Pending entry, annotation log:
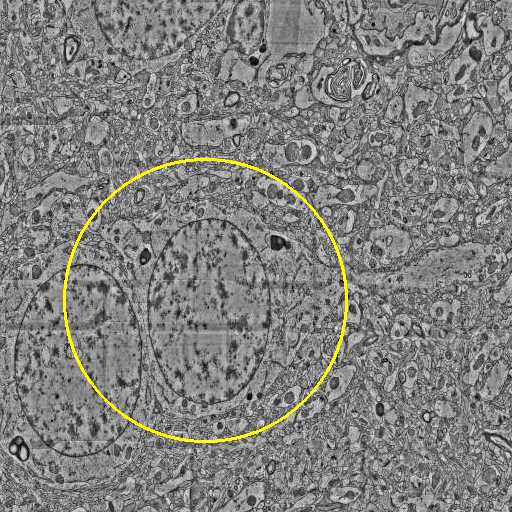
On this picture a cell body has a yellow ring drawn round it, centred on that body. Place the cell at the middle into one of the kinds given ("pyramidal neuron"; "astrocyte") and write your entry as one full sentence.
The cell body at the middle of the yellow ring belongs to a pyramidal neuron.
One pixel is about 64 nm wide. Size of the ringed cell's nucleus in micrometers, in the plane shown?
The nucleus appears roughly 12 by 8 micrometres in this plane.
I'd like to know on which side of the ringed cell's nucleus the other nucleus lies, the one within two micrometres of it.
The other nucleus is positioned to the left of it.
